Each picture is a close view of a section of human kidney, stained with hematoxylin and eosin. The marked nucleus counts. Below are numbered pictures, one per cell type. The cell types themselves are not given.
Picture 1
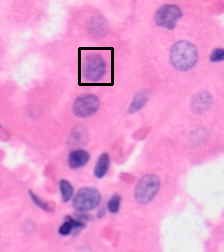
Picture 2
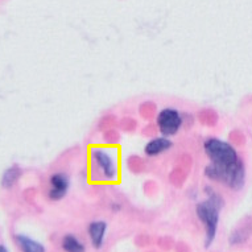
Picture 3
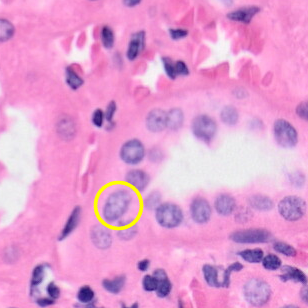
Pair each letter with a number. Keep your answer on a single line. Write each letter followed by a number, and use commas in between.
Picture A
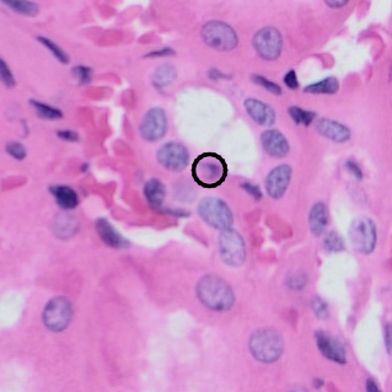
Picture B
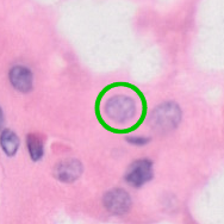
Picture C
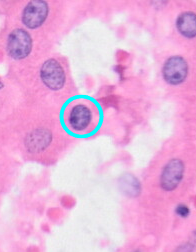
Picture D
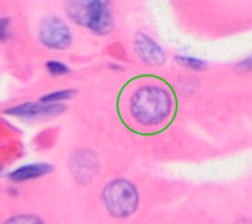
A 3, B 1, C 1, D 1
